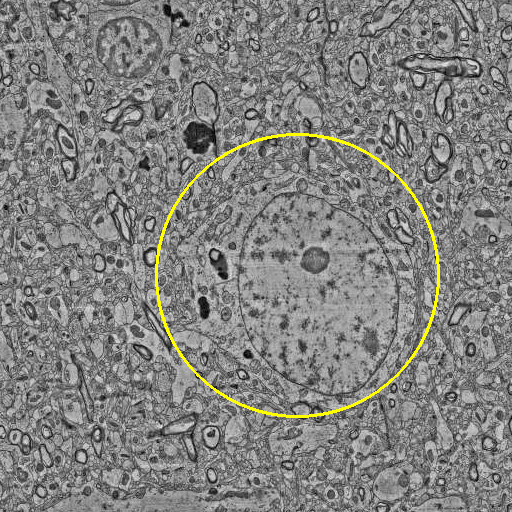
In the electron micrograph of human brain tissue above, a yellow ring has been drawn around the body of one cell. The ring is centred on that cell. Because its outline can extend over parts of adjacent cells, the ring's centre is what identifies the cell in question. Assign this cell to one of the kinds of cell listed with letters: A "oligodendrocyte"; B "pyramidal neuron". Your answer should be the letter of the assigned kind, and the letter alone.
B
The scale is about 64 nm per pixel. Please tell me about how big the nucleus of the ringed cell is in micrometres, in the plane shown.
In this plane, the nucleus of the cell at the centre of the ring measures about 14 by 11 micrometres.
